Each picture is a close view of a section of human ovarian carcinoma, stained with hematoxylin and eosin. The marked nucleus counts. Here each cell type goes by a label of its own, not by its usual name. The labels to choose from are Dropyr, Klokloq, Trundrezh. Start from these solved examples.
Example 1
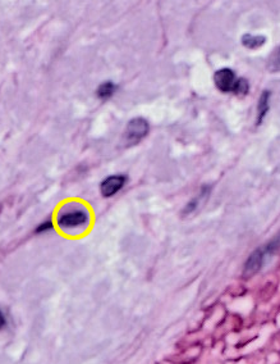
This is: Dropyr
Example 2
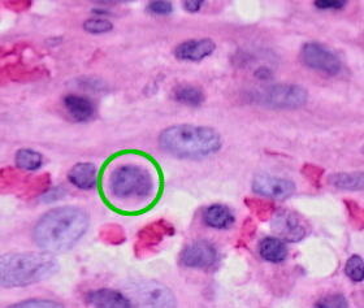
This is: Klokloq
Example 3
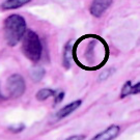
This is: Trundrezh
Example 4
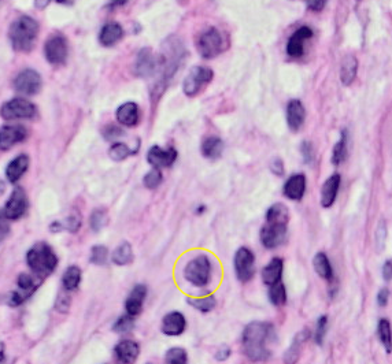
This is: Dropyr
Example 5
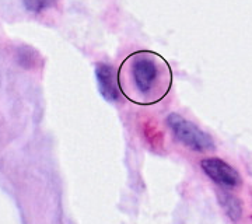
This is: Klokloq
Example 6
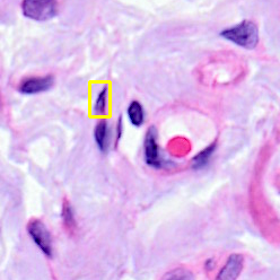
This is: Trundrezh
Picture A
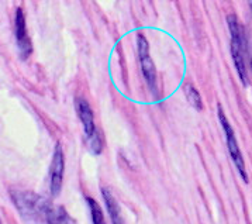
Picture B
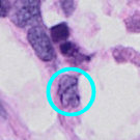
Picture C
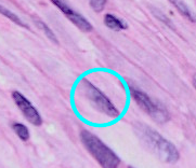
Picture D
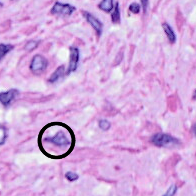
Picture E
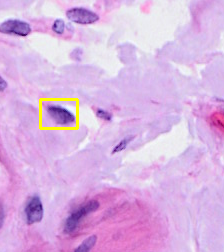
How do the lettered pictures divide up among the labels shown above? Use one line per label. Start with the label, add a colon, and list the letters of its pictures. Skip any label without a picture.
Klokloq: B
Trundrezh: A, C, D, E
